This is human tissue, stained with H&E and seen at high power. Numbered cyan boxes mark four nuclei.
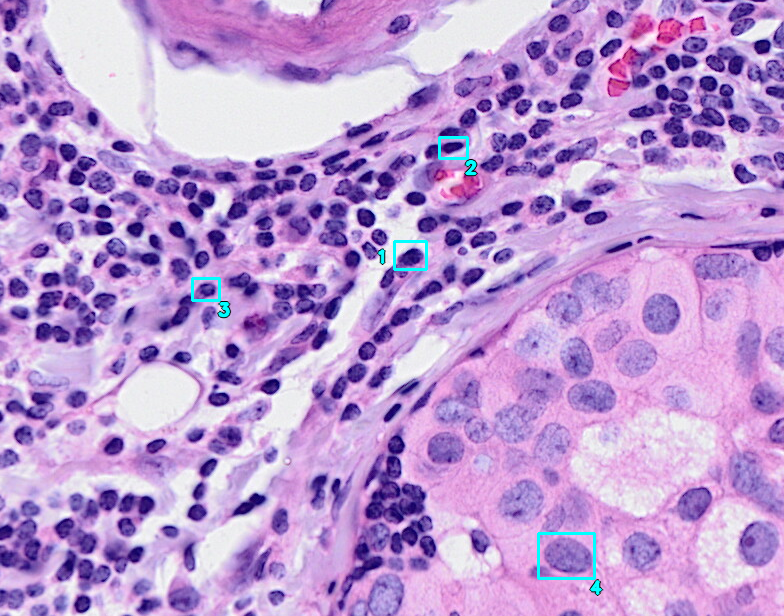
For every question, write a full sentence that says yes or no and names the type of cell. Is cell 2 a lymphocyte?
Yes, it is a lymphocyte that carries the number 2.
